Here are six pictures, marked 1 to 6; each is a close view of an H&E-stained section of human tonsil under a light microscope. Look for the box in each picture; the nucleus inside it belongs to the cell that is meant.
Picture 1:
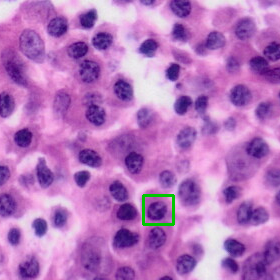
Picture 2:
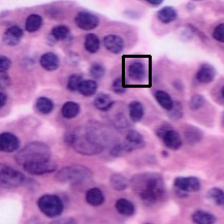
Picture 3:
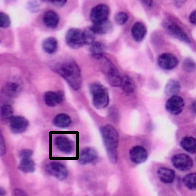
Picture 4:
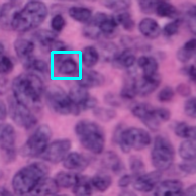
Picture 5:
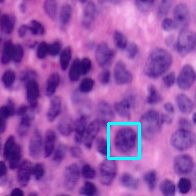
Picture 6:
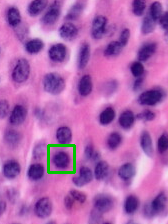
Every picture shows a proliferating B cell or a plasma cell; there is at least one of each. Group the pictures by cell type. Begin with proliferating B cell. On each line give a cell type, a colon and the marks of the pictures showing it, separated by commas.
proliferating B cell: 4, 5
plasma cell: 1, 2, 3, 6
